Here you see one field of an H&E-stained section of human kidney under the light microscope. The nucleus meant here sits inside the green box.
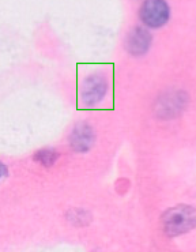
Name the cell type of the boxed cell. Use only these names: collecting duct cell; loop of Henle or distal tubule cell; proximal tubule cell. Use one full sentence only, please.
As for its identity, the boxed cell is a loop of Henle or distal tubule cell.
